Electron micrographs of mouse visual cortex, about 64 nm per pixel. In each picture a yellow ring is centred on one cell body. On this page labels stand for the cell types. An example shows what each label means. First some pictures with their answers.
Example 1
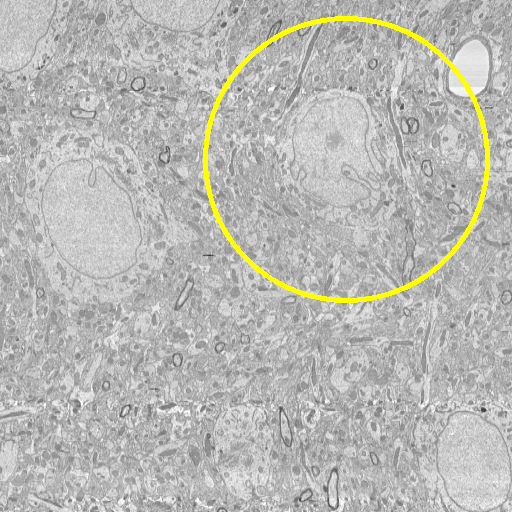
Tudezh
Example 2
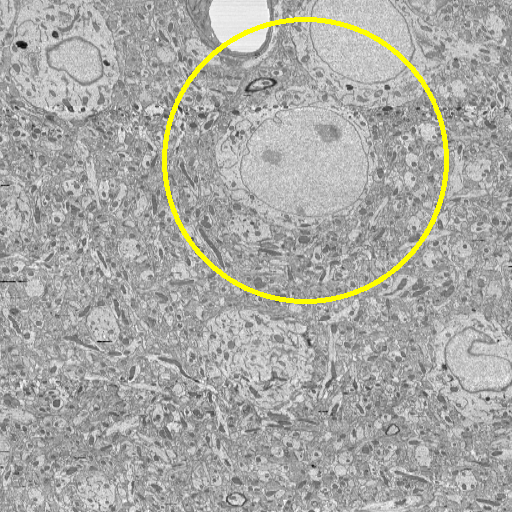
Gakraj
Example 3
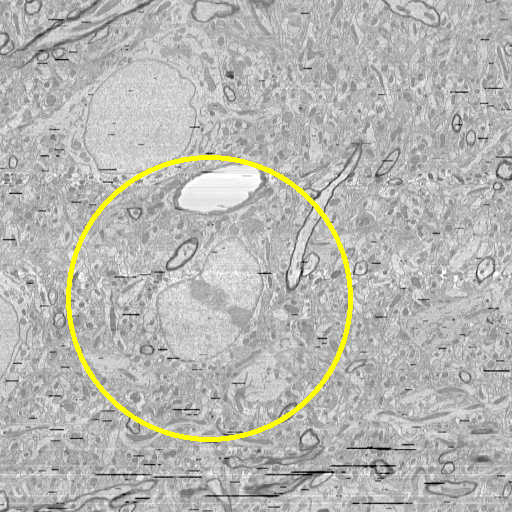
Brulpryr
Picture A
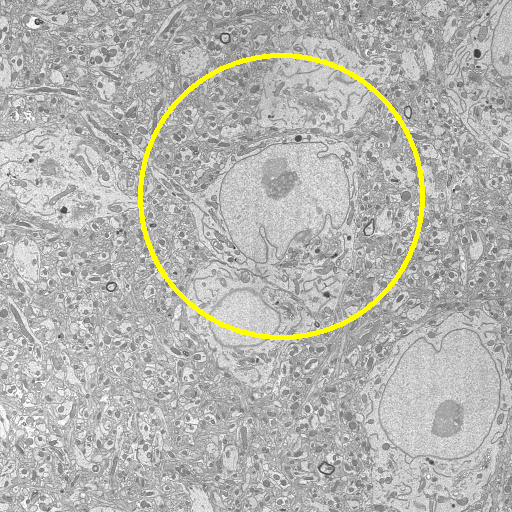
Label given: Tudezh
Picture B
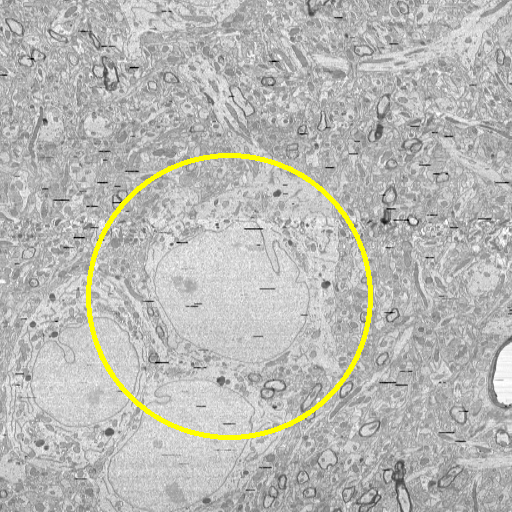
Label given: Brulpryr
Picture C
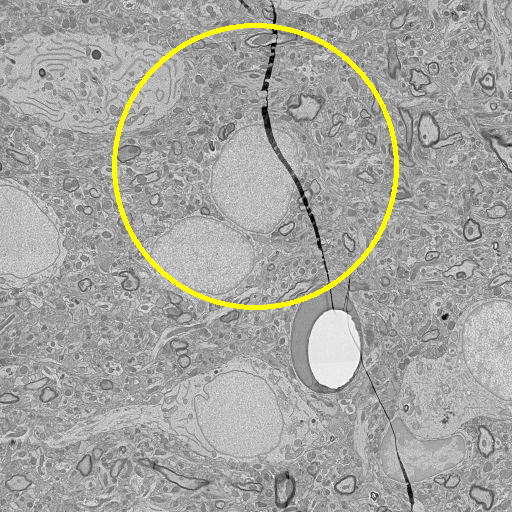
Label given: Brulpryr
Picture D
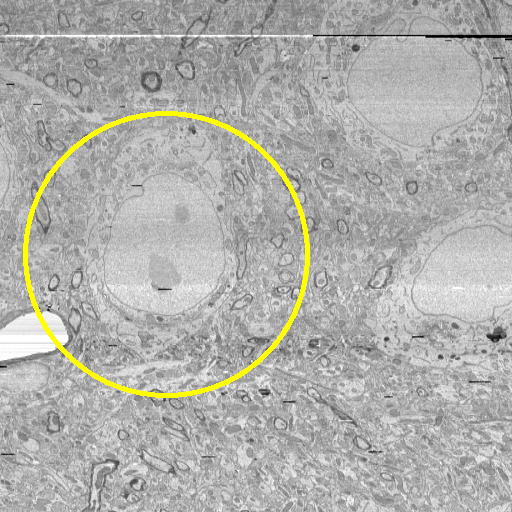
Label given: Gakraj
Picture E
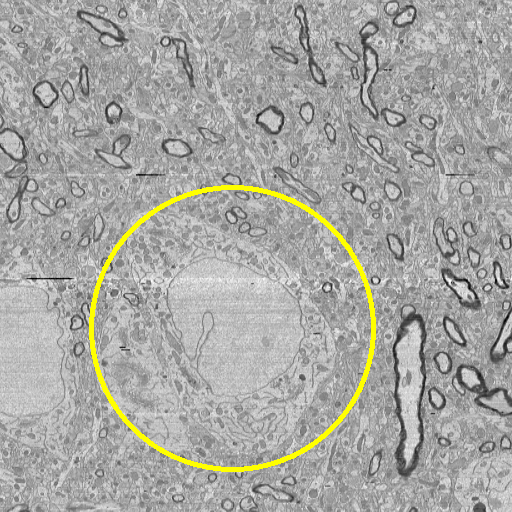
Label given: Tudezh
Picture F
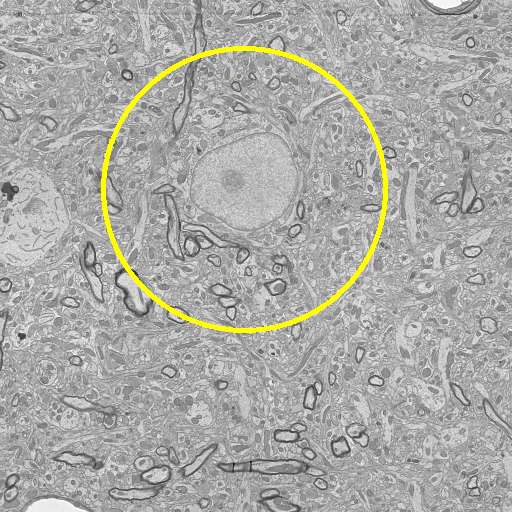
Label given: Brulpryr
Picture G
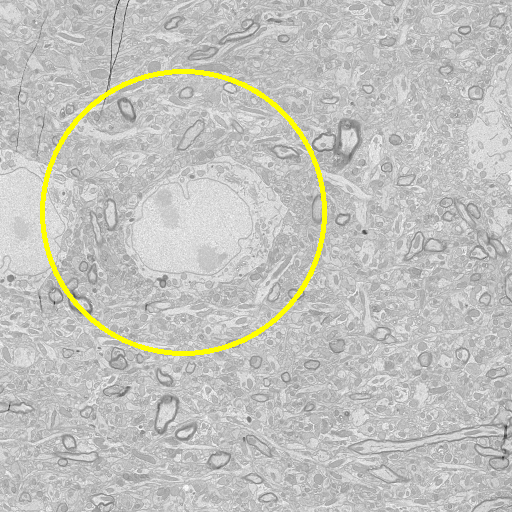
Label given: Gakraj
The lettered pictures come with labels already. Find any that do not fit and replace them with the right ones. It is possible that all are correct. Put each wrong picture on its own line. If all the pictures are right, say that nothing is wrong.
B: not Brulpryr but Gakraj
